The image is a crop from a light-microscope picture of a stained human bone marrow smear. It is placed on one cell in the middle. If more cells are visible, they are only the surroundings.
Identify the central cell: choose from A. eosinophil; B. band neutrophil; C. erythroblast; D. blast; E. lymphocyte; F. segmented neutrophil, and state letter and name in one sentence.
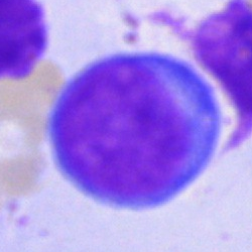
The middle cell of the crop is a blast; accordingly, option D is correct.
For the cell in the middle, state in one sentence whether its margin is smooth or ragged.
The outline traces a smooth curve with no projections along it.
